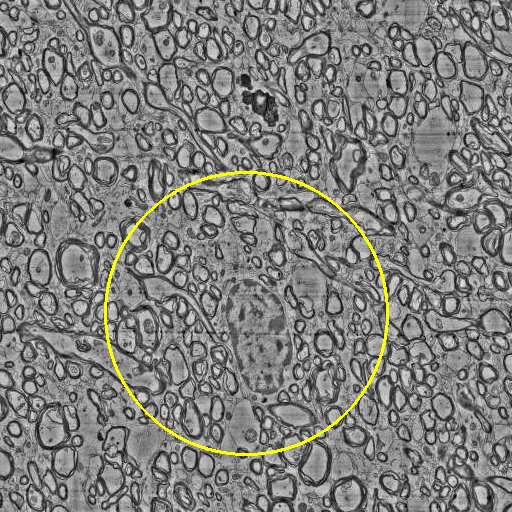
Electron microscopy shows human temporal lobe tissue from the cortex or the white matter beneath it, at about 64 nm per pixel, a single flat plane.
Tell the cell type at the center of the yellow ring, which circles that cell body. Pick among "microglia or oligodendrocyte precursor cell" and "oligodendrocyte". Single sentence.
The ring is centered on the body of a microglial cell or oligodendrocyte precursor cell.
